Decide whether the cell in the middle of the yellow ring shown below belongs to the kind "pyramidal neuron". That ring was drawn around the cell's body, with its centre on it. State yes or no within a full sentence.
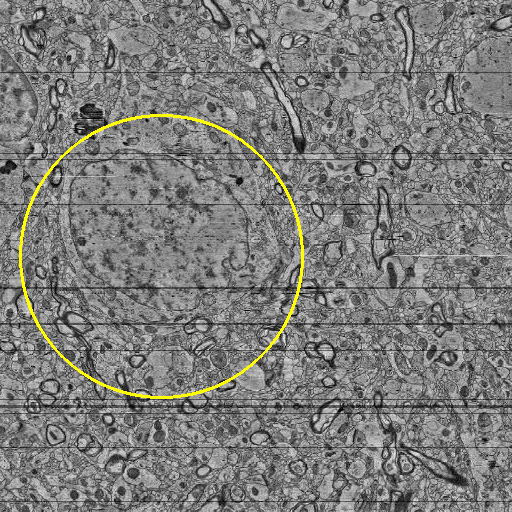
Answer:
Yes, the cell whose body lies at the ring's centre in the picture belongs to that kind.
